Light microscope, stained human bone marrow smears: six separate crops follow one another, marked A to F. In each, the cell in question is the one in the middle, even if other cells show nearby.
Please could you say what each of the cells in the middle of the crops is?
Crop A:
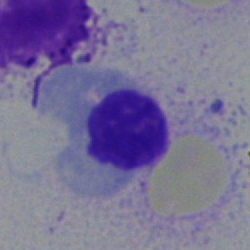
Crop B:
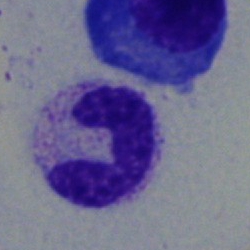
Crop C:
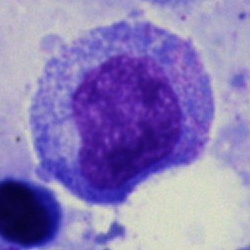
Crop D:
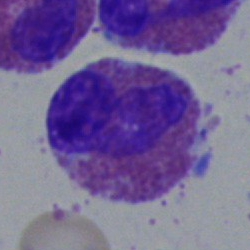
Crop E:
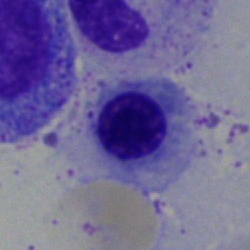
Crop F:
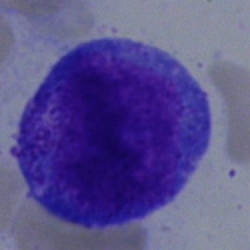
A: erythroblast
B: band neutrophil
C: promyelocyte
D: eosinophil
E: erythroblast
F: promyelocyte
